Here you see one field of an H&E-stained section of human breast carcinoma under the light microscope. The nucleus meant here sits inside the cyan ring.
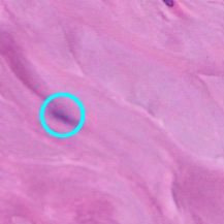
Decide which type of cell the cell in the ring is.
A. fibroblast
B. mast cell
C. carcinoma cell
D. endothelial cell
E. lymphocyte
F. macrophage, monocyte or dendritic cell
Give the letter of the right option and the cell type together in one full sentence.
Among the choices, option A is correct, the cell in the ring being a fibroblast.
